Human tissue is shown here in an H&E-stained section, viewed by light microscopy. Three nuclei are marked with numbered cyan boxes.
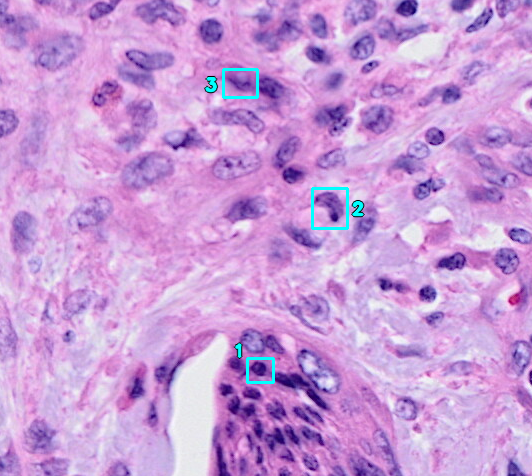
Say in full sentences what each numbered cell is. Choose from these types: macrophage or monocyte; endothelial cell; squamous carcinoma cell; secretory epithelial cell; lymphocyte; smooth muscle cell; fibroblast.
Cell 1 is a squamous carcinoma cell. Cell 2 is a macrophage or monocyte. Cell 3 is an endothelial cell.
